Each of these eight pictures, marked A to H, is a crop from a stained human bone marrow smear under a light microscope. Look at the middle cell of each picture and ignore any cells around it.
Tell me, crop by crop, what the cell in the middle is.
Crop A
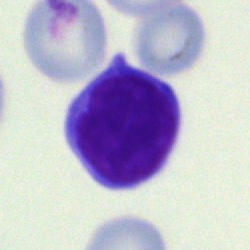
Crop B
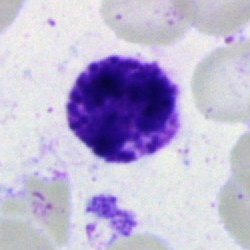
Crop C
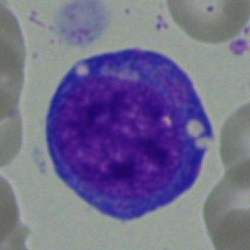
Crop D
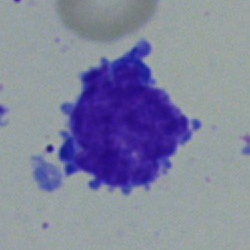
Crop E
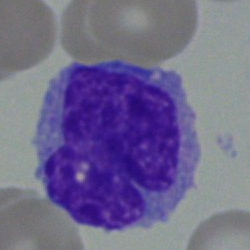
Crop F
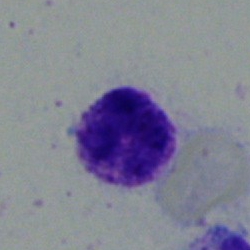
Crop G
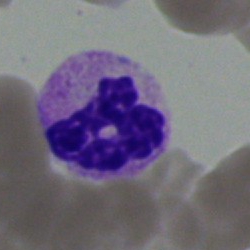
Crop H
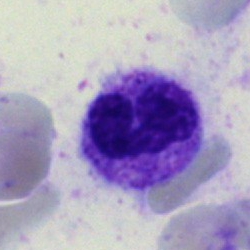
A: lymphocyte
B: basophil
C: promyelocyte
D: blast
E: monocyte
F: basophil
G: segmented neutrophil
H: band neutrophil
